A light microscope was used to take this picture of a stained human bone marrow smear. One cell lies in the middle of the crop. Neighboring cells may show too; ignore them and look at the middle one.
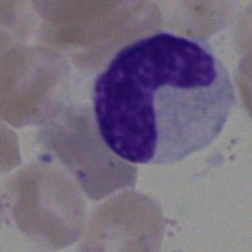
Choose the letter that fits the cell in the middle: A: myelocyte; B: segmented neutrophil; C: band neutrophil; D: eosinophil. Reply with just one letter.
C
